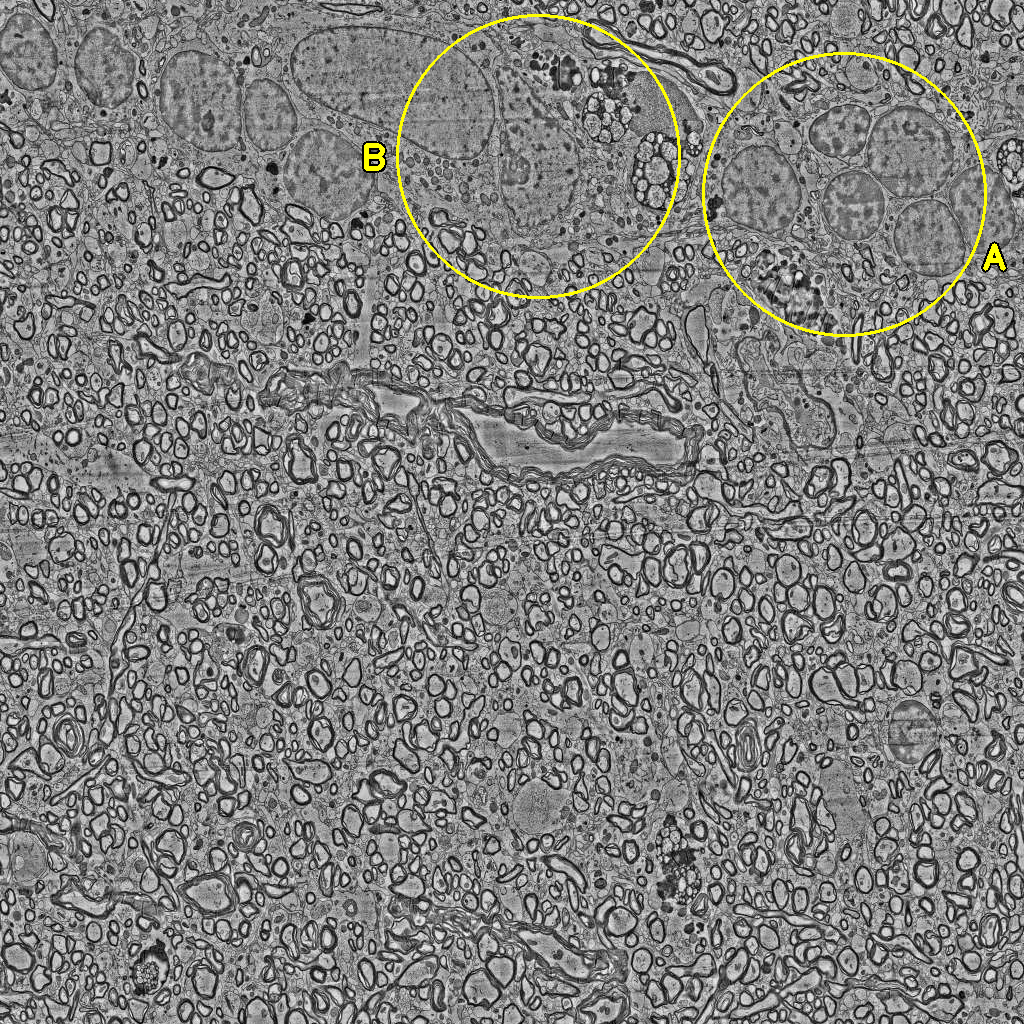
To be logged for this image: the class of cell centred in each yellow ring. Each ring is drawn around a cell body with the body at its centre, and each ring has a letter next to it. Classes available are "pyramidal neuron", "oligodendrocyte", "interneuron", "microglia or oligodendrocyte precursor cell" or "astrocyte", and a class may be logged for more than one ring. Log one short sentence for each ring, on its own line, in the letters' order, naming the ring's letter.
The class recorded for ring A is an oligodendrocyte.
The class recorded for ring B is an astrocyte.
